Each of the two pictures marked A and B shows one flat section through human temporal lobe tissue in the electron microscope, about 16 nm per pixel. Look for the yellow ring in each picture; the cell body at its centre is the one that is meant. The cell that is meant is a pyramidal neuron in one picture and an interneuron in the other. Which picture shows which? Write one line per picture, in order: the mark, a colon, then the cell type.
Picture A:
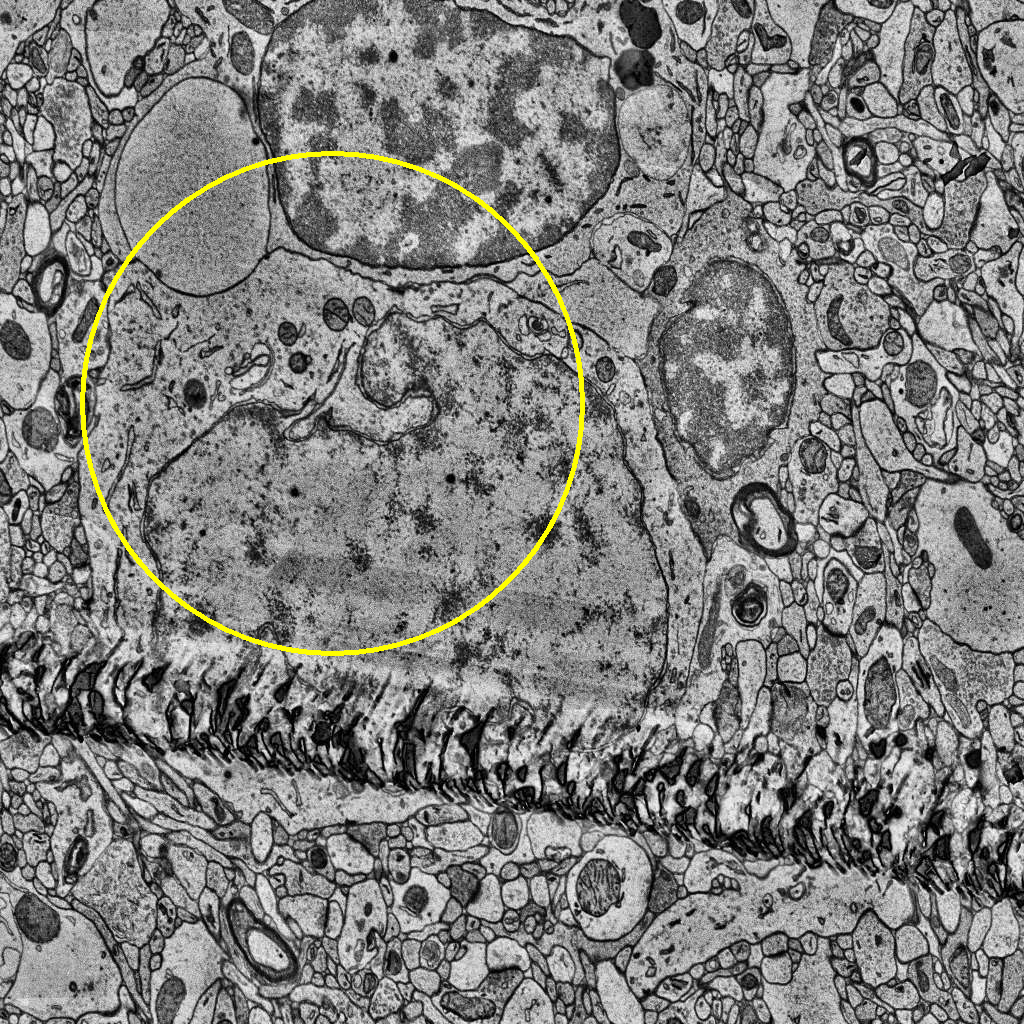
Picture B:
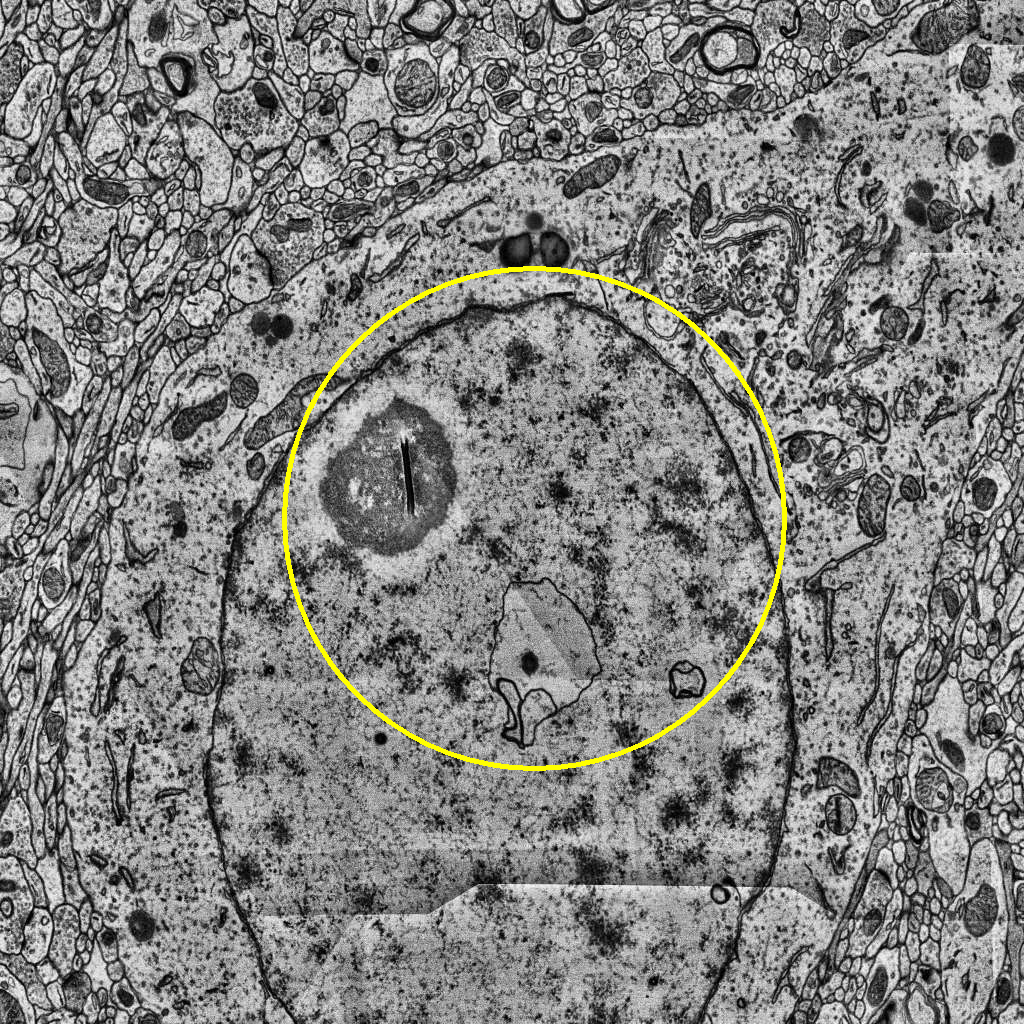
A: interneuron
B: pyramidal neuron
